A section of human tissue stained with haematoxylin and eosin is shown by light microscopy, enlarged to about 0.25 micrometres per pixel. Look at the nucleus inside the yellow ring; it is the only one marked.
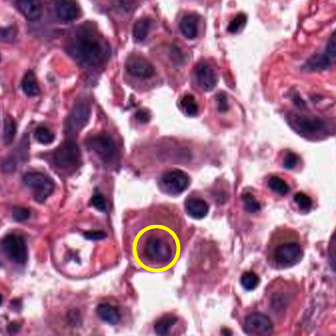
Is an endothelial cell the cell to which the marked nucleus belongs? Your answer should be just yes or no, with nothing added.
no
